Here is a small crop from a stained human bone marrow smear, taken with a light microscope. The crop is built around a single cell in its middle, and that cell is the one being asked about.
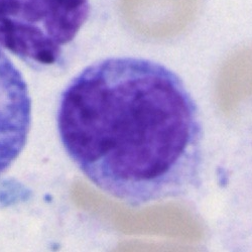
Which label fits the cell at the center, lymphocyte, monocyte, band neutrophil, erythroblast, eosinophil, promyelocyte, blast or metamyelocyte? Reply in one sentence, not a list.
In the central position of this crop, the cell is a monocyte.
